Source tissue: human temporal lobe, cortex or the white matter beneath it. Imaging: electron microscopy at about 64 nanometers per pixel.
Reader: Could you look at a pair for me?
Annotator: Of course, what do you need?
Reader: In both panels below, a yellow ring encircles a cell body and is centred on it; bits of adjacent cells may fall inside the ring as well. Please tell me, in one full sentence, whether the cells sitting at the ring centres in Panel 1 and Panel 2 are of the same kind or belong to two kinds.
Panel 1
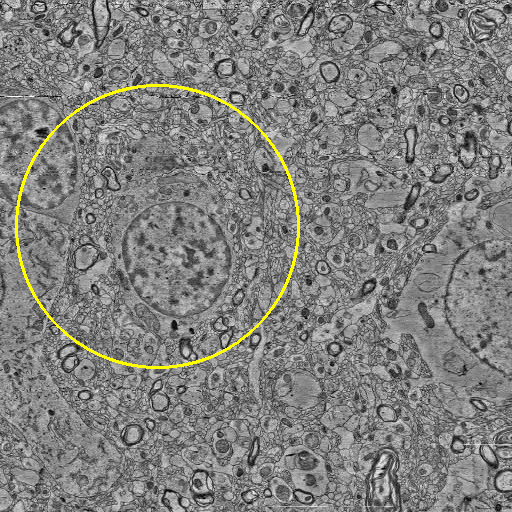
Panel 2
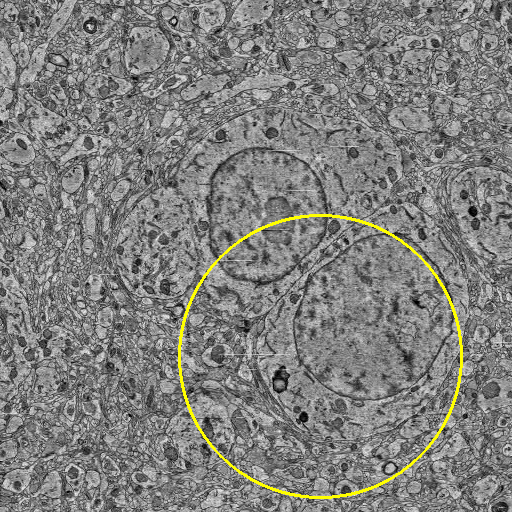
The cell at the ring's centre in Panel 1 and the one in Panel 2 belong to two kinds.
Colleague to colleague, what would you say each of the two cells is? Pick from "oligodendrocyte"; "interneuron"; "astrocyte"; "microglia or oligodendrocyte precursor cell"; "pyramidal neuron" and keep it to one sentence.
The cell in the first picture is an oligodendrocyte; the second picture's cell is a pyramidal neuron.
